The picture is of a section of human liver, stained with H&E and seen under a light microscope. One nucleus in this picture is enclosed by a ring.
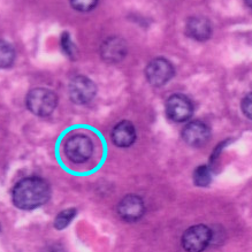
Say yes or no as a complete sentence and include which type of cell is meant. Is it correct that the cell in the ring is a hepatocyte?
Yes, the identity of the cell in the ring is that of a hepatocyte.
